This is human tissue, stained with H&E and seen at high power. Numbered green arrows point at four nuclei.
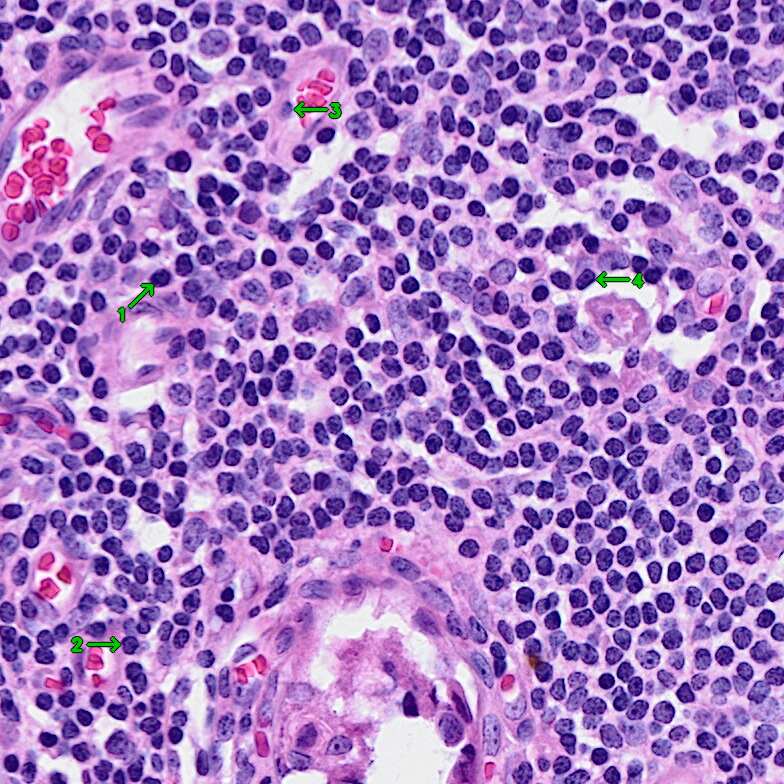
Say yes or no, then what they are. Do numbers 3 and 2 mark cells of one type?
No, the cell numbered 3 is an endothelial cell and the cell numbered 2 is a lymphocyte.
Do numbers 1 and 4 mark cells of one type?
Yes, just like cell 1, cell 4 is one of the lymphocytes.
